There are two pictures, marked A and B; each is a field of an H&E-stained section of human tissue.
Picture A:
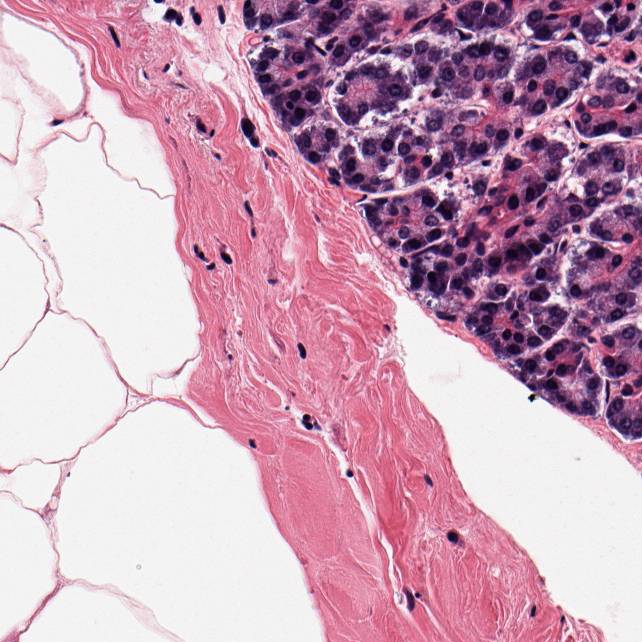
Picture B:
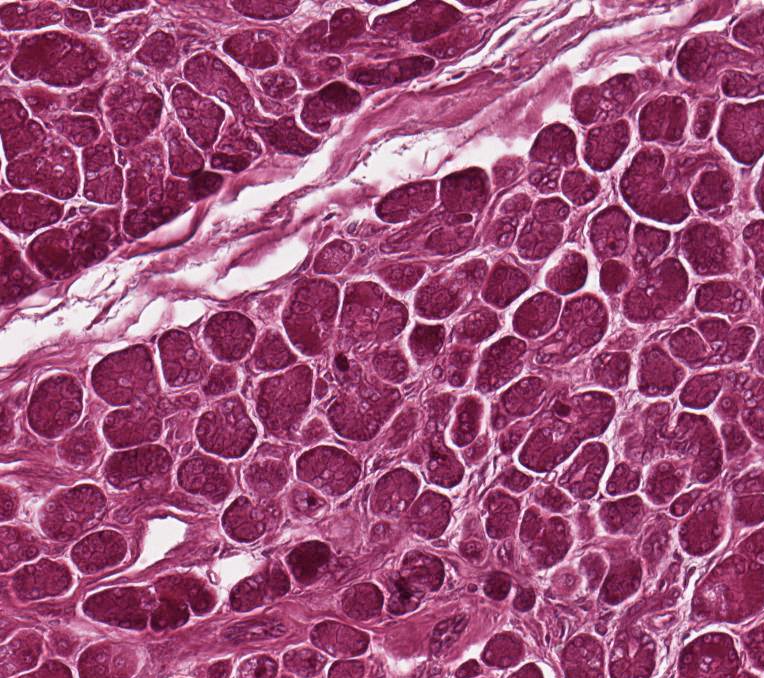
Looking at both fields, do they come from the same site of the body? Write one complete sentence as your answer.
Yes, the two fields both come from the pancreas.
